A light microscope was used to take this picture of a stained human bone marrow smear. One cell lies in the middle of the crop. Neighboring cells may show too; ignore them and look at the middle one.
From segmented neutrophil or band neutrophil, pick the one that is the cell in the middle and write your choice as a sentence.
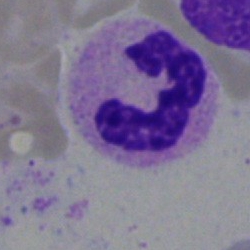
Looking at the middle of the crop, the cell there is a segmented neutrophil.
